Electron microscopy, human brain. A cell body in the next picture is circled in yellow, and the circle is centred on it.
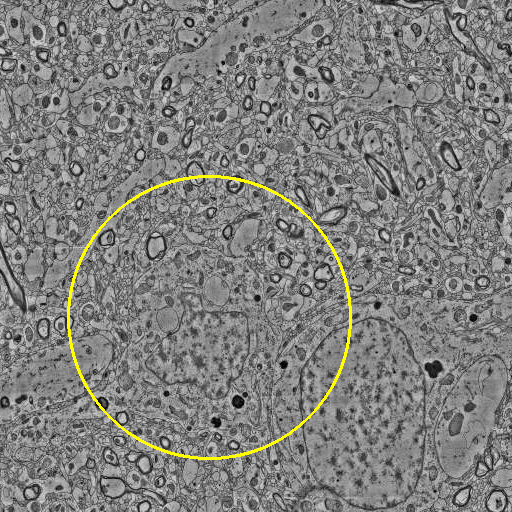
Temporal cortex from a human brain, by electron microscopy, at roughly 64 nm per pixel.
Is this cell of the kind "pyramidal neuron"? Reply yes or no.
no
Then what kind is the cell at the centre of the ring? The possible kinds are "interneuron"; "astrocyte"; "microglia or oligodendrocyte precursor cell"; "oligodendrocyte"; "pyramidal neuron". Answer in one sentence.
The cell at the middle of the ring is an interneuron.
